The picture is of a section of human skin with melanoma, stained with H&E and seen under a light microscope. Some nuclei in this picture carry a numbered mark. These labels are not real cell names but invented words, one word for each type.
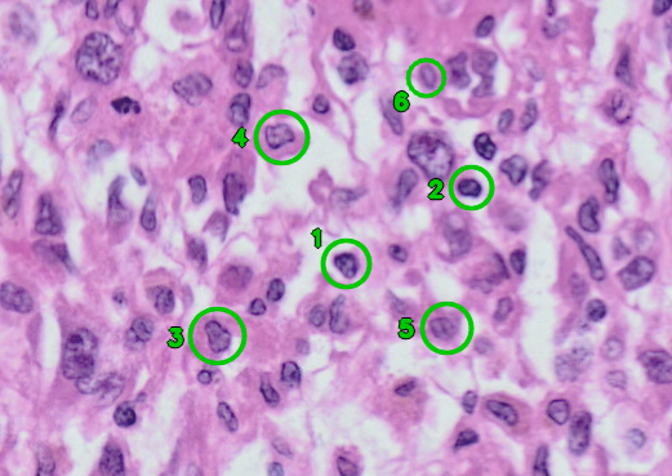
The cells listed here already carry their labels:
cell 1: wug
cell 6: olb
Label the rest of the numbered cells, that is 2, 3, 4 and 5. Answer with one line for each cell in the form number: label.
2: wug
3: olb
4: olb
5: olb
